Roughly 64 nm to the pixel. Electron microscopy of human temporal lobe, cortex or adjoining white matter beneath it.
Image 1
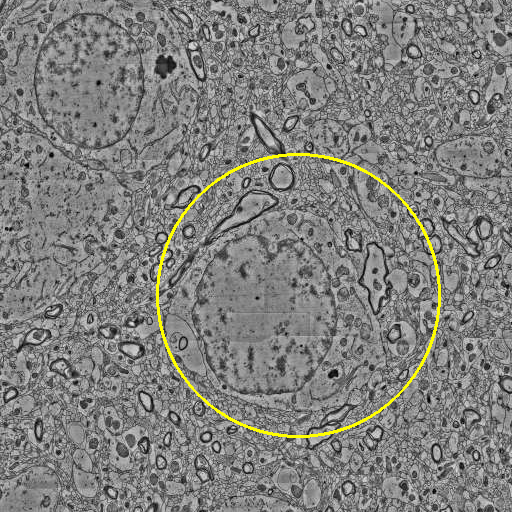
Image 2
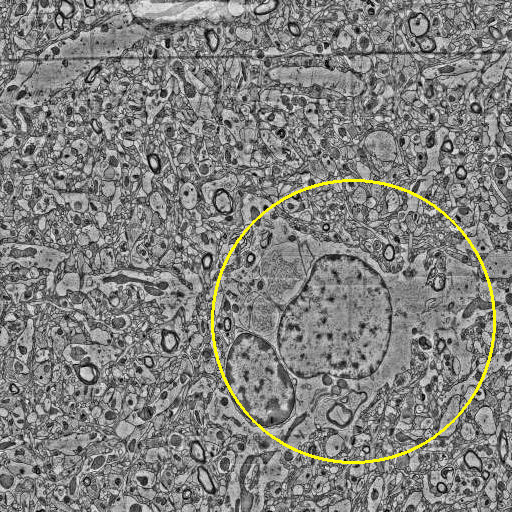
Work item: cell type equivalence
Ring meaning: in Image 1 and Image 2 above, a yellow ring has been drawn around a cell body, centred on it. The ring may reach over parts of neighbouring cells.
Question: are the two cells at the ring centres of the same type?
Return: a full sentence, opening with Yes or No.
No, the two centred cells are of two types.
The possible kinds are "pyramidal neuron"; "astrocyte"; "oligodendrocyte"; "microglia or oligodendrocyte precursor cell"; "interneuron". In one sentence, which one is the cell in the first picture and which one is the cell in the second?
The cell ringed in the second picture is an astrocyte, whereas the one ringed in the first is an interneuron.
